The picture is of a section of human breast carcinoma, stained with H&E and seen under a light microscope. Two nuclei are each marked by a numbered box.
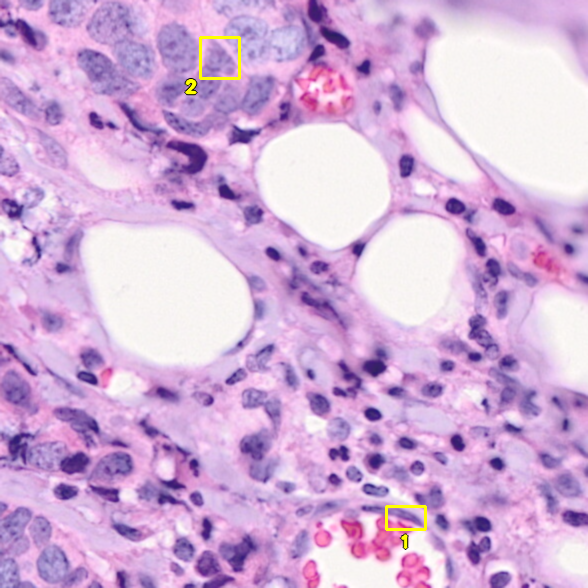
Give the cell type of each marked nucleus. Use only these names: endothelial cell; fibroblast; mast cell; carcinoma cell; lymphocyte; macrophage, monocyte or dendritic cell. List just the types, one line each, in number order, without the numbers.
endothelial cell
carcinoma cell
